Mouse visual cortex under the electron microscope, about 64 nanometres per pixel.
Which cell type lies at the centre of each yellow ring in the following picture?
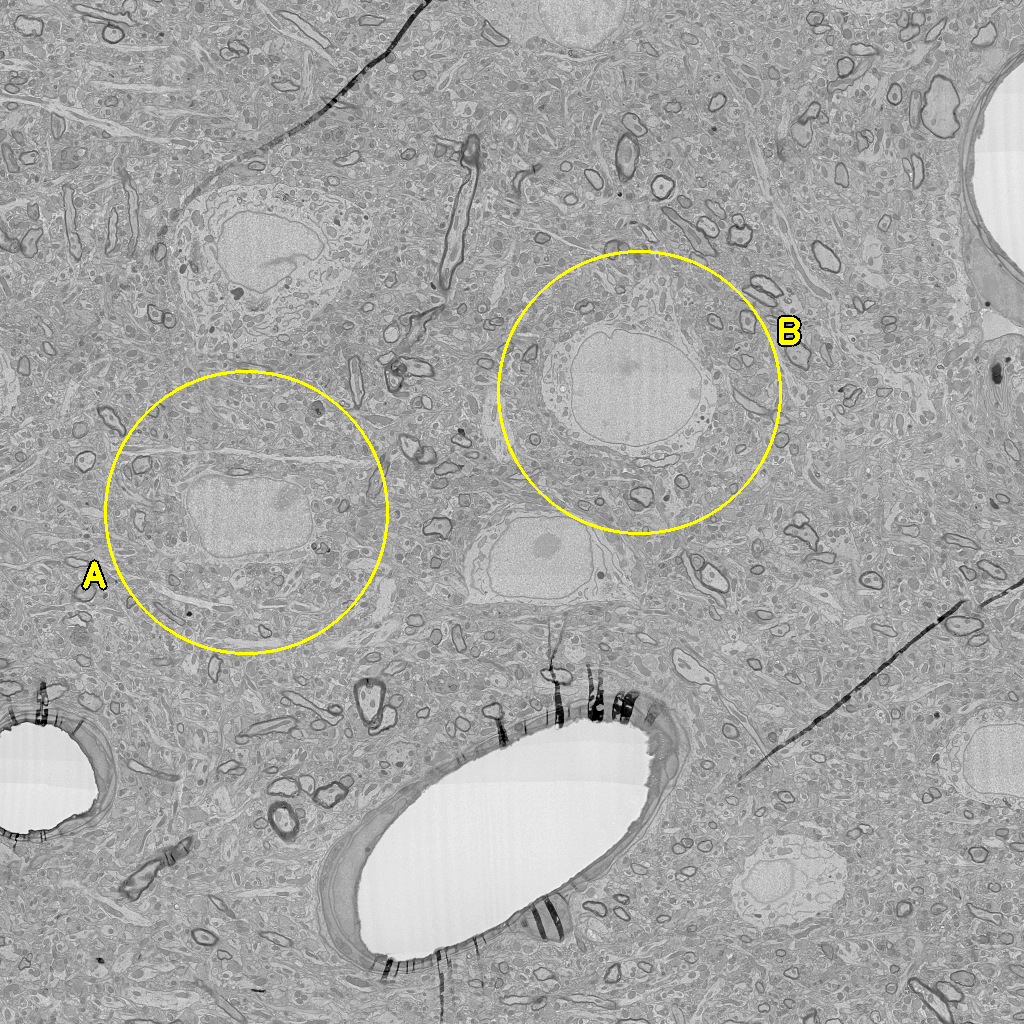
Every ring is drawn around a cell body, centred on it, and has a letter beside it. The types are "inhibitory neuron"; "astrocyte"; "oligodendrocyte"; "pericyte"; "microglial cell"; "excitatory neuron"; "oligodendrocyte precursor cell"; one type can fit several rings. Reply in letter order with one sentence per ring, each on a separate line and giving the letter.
Ring A marks the cell body of an astrocyte.
Ring B marks the cell body of an excitatory neuron.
